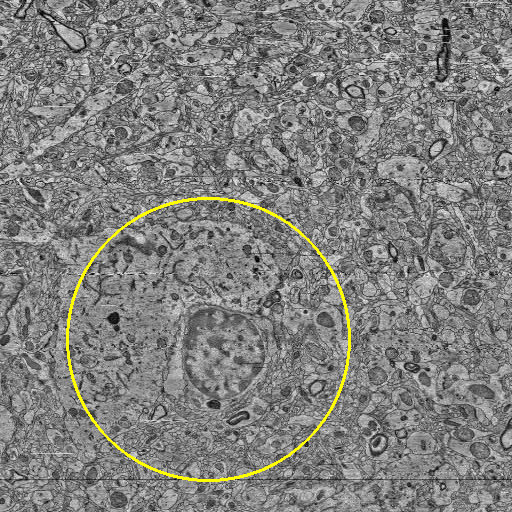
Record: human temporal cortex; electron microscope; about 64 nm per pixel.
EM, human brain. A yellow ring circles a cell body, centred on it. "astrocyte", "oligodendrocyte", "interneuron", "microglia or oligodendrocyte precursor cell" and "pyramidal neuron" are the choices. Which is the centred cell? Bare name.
microglia or oligodendrocyte precursor cell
